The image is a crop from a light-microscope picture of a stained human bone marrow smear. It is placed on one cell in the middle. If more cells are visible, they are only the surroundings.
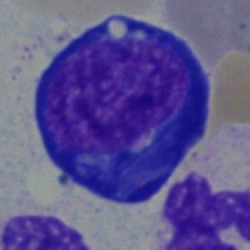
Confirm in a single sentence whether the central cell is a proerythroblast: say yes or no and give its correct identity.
Yes, at the centre of the crop lies a proerythroblast.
